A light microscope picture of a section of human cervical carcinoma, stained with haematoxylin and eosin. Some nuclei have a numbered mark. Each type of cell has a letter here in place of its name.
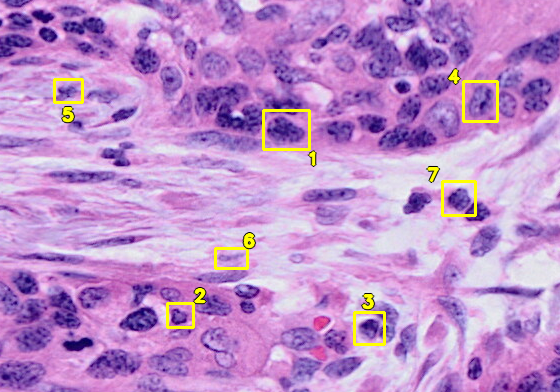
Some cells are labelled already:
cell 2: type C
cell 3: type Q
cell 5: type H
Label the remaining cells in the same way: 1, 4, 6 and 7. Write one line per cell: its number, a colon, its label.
1: type C
4: type C
6: type H
7: type Q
